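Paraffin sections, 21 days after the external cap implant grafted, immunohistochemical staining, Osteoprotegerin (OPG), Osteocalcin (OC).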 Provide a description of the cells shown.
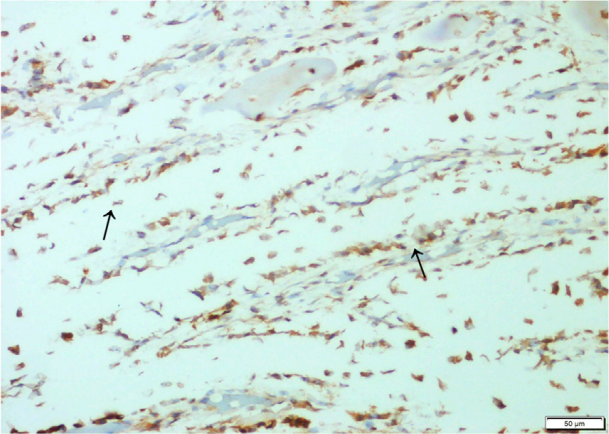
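This section of bone tissue shows elongated to ovoid cells arranged in roughly parallel bands across a pale matrix. Many of these osteoblasts are strongly brown-stained, while others show only blue nuclei. The cells lie in rows along the strands, with pale matrix between the bands.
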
